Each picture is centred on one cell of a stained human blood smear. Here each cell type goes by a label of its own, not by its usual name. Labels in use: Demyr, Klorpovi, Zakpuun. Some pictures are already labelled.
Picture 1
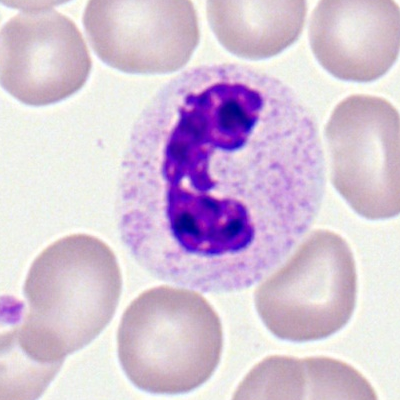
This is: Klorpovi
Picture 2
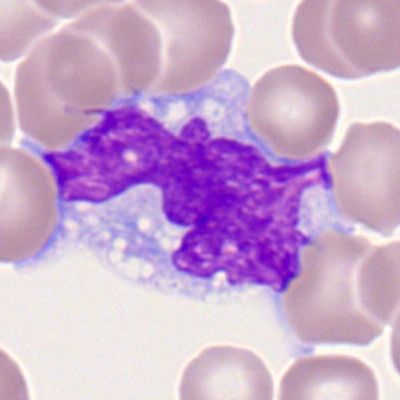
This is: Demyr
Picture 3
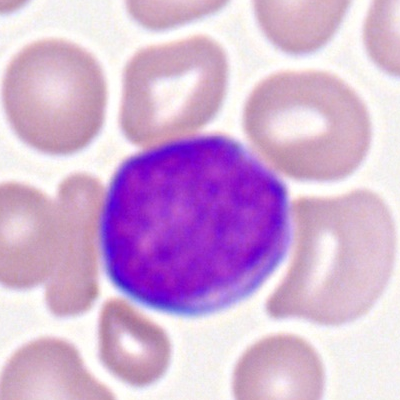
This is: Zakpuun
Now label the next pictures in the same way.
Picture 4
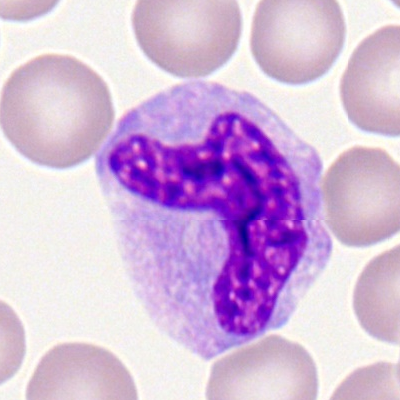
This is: Demyr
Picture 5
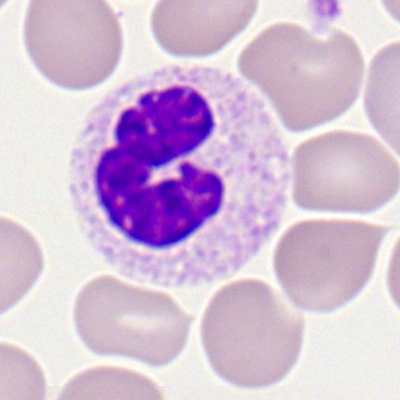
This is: Klorpovi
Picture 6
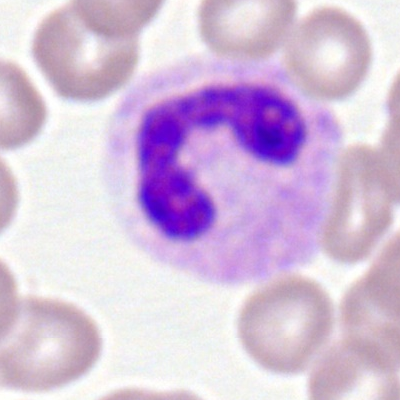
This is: Klorpovi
